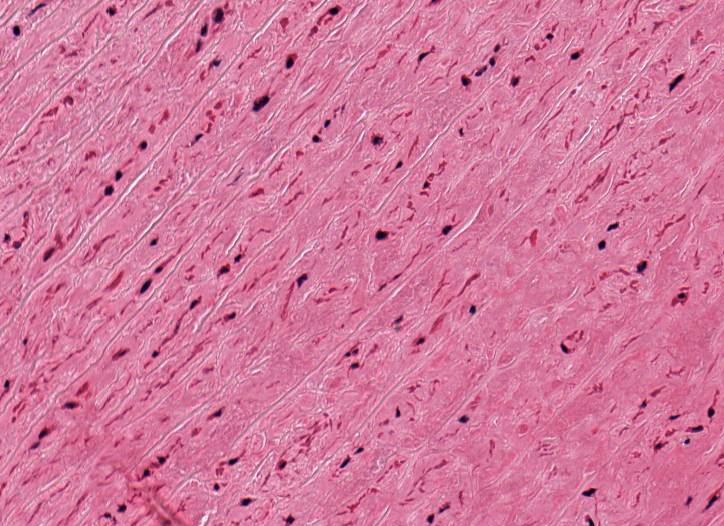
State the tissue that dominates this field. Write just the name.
tunica media of an artery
